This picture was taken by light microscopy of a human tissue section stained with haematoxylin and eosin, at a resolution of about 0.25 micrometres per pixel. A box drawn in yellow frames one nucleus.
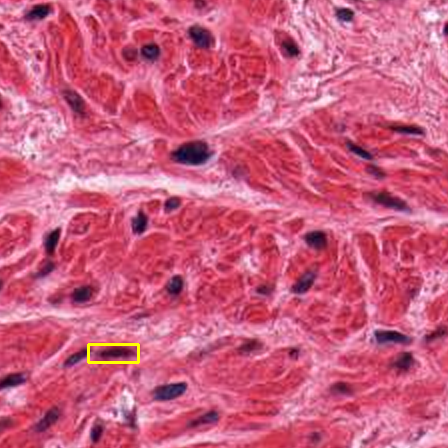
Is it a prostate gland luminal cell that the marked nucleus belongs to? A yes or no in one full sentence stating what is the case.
No, the marked nucleus cannot be counted as belonging to a prostate gland luminal cell.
